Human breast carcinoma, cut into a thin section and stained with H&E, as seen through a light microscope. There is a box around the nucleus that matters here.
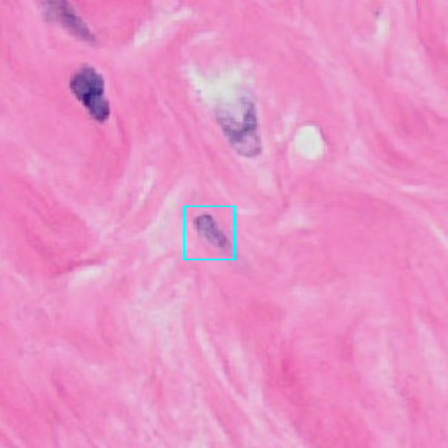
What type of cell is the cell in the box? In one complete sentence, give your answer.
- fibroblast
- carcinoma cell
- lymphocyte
It is a fibroblast that the cell in the box represents.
